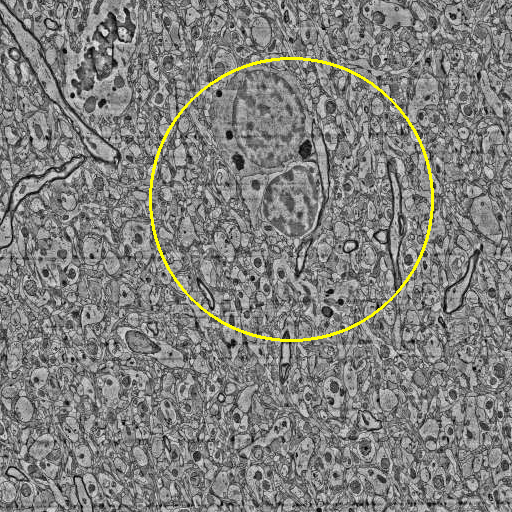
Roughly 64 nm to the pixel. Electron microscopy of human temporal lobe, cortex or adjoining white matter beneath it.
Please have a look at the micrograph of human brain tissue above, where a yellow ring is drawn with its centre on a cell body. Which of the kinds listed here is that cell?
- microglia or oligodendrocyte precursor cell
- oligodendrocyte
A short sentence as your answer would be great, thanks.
At the centre of the ring sits a microglial cell or oligodendrocyte precursor cell.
